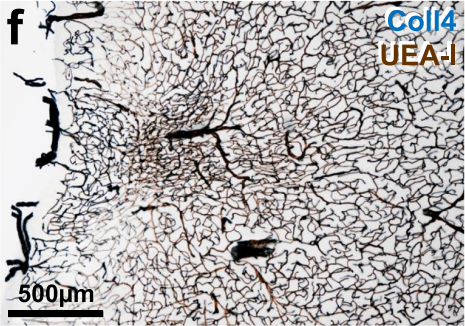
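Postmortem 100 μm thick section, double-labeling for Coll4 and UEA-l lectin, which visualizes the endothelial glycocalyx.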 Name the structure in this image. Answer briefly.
dense microvascular meshwork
